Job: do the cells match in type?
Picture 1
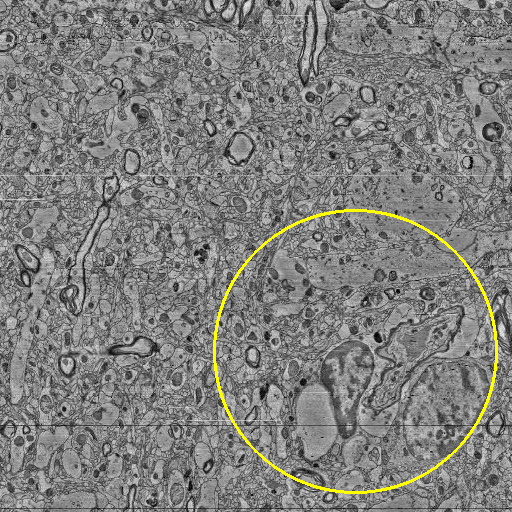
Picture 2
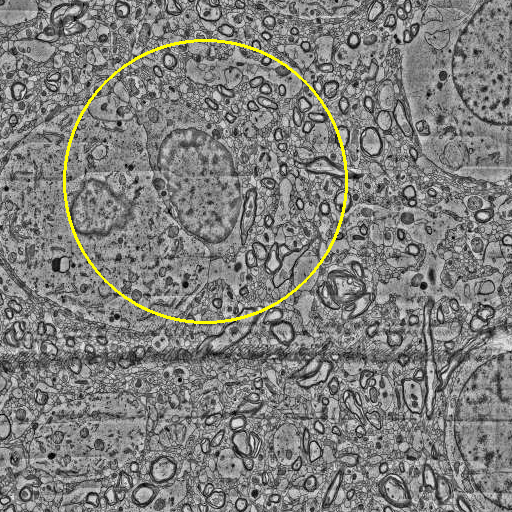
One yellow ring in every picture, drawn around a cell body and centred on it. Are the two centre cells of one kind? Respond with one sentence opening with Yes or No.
No, the ringed cells in the two pictures are of two separate kinds.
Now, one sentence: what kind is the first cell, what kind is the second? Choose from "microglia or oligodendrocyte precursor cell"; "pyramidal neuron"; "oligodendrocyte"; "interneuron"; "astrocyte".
The first picture has a microglial cell or oligodendrocyte precursor cell at its ring centre, and the second has an oligodendrocyte.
